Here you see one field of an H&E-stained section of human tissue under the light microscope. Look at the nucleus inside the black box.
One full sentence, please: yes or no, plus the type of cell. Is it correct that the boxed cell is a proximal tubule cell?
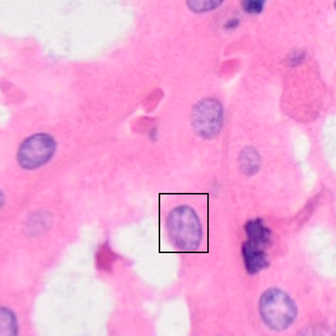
Yes, the boxed cell is rightly regarded as a proximal tubule cell.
